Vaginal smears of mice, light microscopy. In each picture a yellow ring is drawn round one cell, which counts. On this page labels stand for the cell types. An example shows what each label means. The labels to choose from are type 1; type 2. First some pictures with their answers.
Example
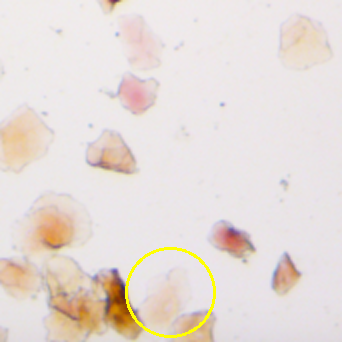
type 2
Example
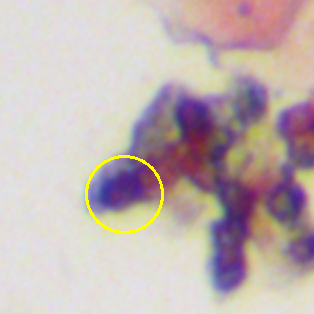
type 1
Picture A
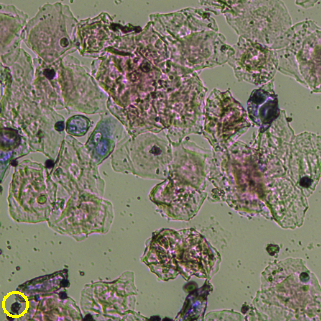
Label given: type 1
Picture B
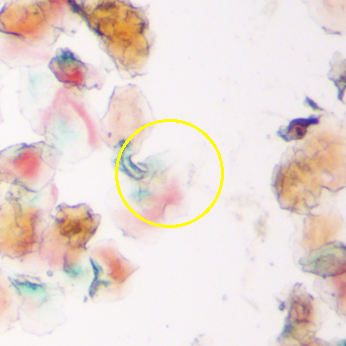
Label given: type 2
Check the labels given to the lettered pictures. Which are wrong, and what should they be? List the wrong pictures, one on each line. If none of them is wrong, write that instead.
None of the labels needs changing.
